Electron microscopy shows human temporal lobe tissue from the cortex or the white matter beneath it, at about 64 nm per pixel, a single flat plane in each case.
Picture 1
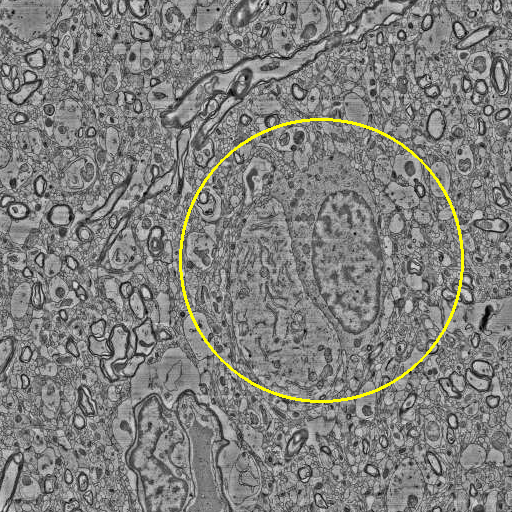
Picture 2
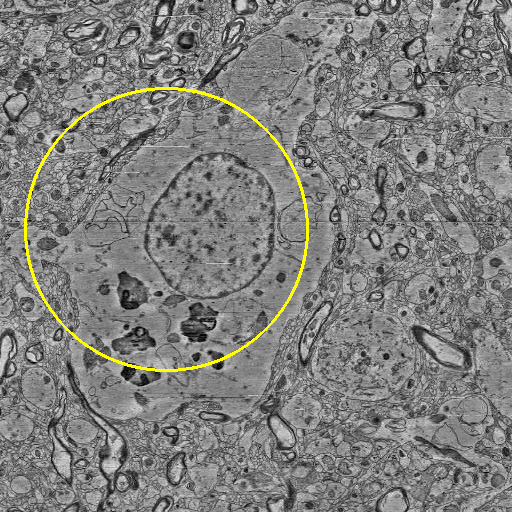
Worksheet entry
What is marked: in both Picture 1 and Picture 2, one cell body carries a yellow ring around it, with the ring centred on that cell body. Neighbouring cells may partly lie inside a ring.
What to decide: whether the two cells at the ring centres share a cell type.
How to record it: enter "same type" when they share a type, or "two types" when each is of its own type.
two types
